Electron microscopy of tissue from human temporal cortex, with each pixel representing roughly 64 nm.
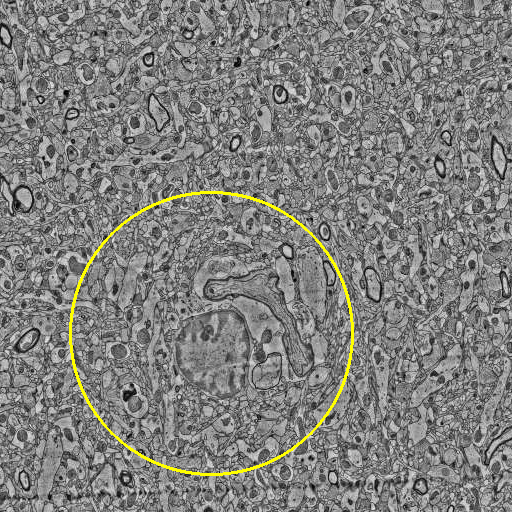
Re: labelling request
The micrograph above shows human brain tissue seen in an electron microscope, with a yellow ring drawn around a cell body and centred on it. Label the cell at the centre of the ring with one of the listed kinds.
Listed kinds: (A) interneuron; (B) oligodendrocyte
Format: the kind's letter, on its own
B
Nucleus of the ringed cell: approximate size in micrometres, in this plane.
About 6 by 5 micrometers, in this plane.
